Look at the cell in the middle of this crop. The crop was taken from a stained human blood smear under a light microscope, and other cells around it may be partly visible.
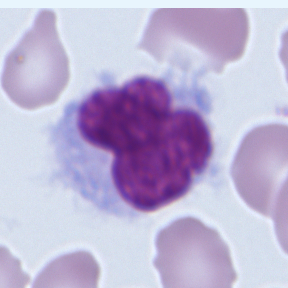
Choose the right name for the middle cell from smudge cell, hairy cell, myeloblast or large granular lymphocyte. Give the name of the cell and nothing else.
hairy cell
